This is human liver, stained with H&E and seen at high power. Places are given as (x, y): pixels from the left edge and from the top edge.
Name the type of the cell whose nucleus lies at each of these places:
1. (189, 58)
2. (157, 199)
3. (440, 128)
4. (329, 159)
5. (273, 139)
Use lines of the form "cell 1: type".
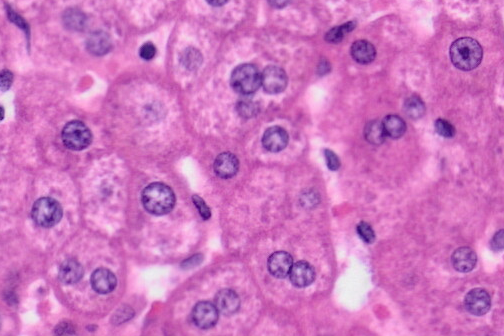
cell 1: hepatocyte
cell 2: hepatocyte
cell 3: fibroblast or stellate cell
cell 4: lymphocyte
cell 5: hepatocyte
